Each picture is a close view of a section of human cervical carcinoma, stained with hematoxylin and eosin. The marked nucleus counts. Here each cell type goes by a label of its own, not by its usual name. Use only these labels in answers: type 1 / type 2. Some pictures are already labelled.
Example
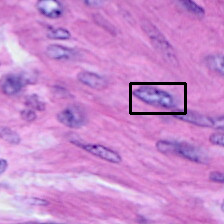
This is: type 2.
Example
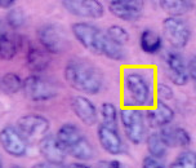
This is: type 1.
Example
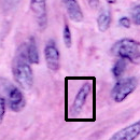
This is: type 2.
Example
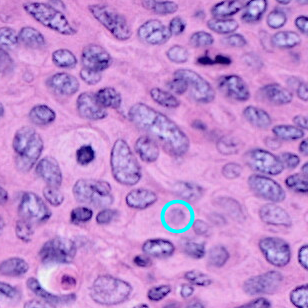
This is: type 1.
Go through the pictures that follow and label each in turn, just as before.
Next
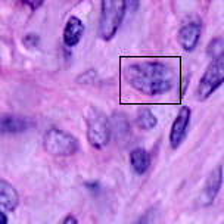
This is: type 2.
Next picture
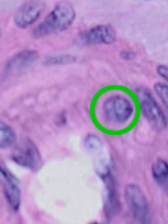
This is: type 2.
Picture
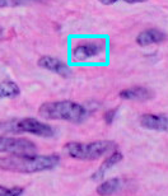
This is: type 2.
